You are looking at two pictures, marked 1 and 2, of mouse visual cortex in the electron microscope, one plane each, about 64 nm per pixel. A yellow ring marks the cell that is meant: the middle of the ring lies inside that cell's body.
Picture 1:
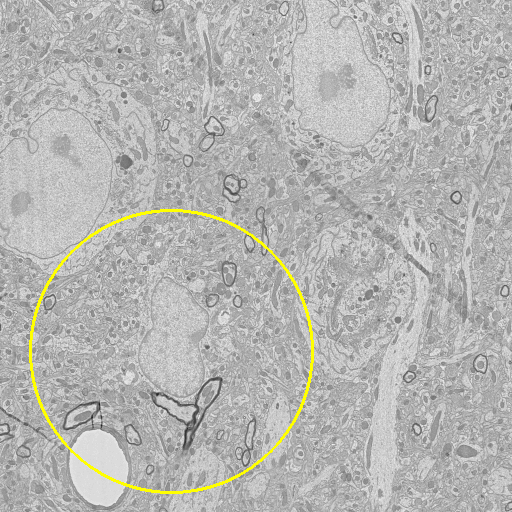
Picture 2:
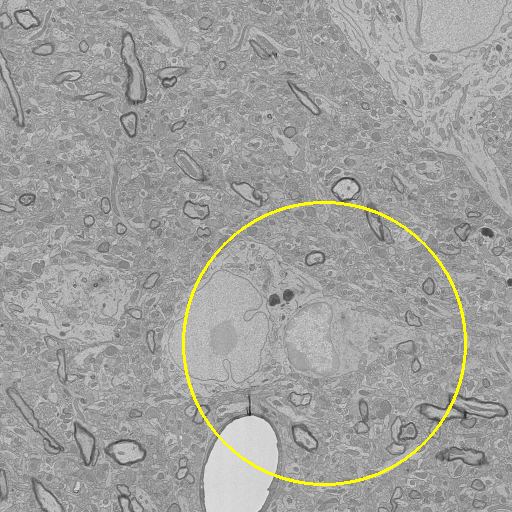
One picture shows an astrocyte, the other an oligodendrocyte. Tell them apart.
The cell in picture 1 is an astrocyte, and the one in picture 2 is an oligodendrocyte.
